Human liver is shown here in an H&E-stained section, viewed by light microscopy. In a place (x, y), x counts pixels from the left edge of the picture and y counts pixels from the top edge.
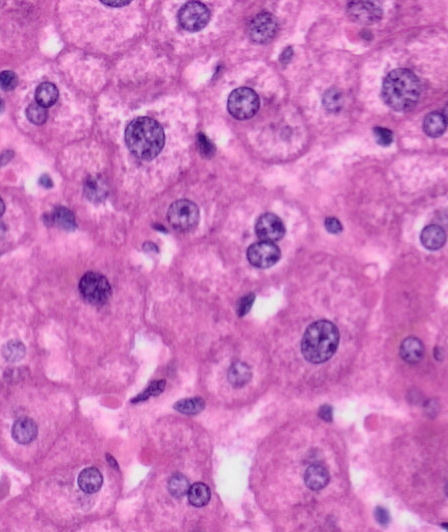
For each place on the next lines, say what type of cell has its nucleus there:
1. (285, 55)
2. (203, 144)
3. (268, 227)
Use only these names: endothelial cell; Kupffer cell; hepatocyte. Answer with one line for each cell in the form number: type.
1: Kupffer cell
2: endothelial cell
3: hepatocyte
